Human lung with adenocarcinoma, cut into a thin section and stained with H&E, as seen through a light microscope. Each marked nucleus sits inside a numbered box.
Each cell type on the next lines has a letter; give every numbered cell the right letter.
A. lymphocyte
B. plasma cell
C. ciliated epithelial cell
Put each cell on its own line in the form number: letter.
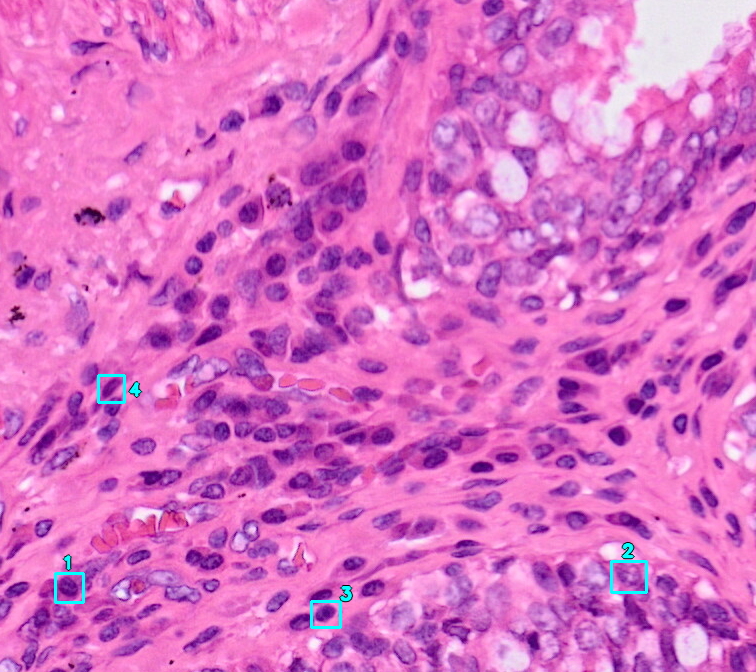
1: B
2: C
3: A
4: B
